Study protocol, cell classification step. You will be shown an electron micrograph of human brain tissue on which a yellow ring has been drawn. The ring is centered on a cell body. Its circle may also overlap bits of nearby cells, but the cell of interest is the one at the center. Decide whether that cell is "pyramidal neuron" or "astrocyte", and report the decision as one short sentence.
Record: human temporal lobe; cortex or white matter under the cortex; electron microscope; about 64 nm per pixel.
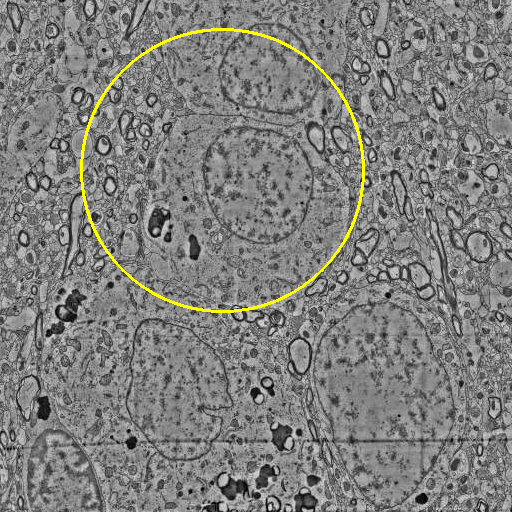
The marked cell is a pyramidal neuron.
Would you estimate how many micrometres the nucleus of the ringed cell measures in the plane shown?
In this plane, the nucleus of the cell at the centre of the ring is about 7 micrometres across.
